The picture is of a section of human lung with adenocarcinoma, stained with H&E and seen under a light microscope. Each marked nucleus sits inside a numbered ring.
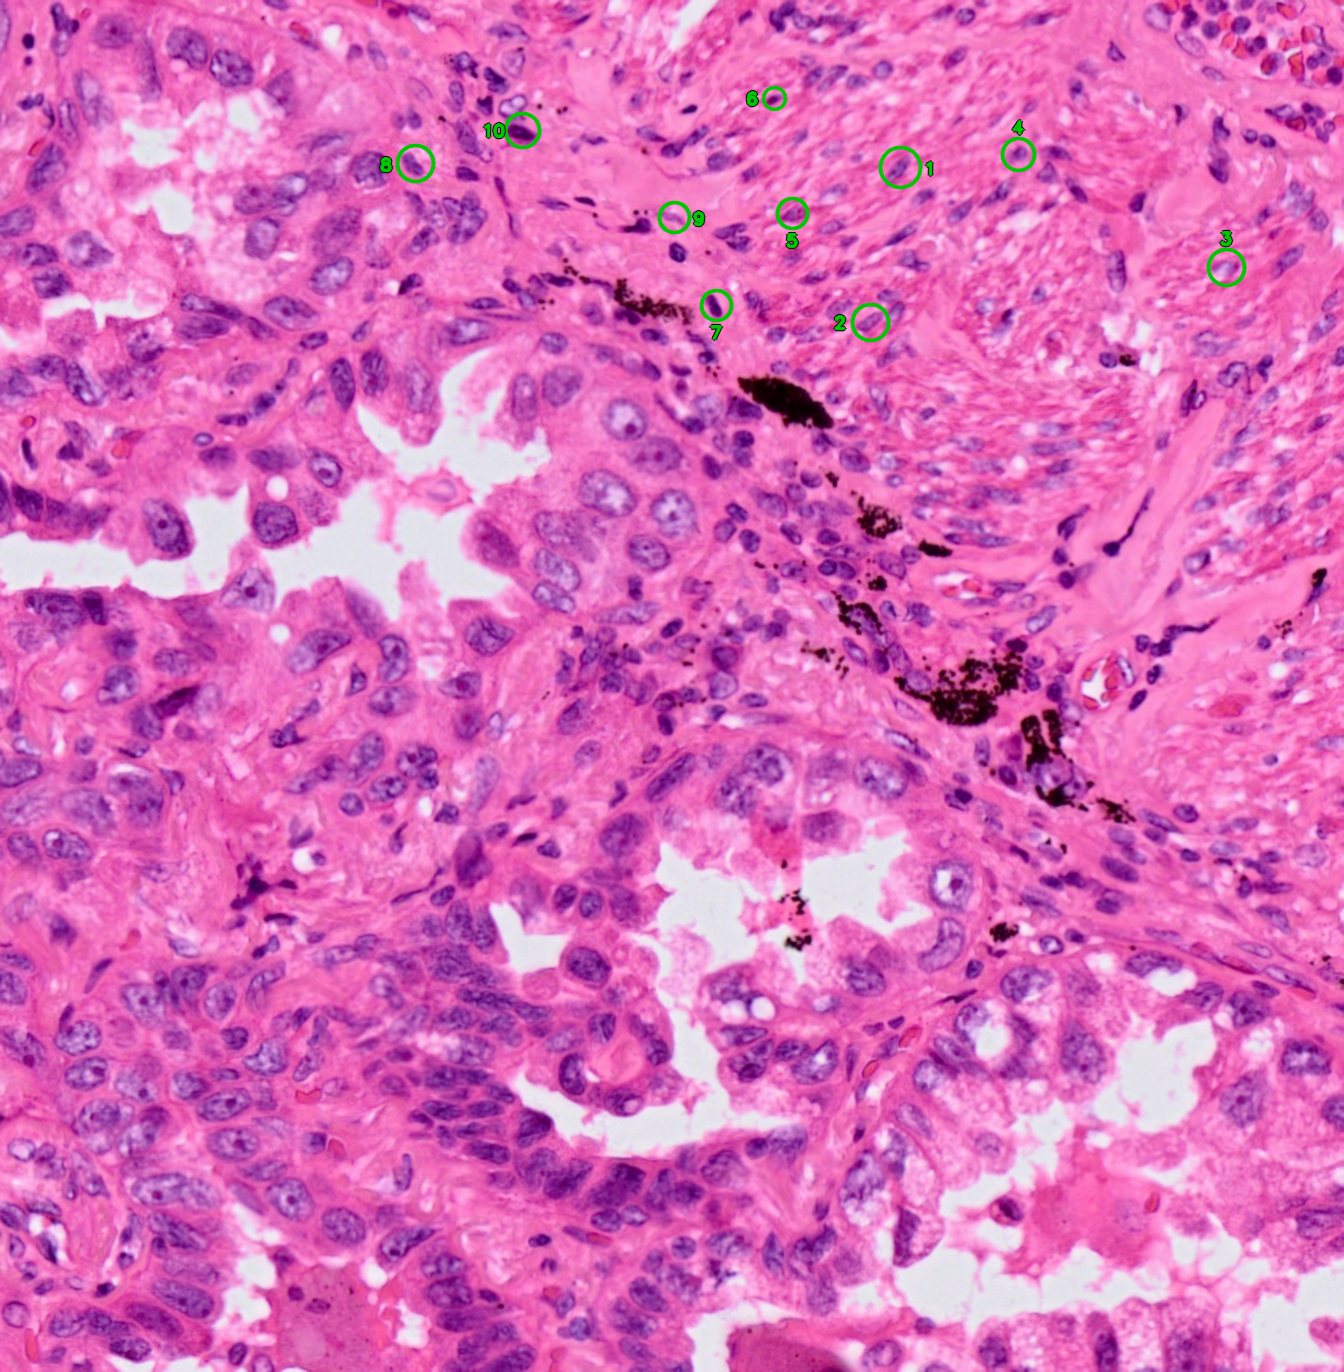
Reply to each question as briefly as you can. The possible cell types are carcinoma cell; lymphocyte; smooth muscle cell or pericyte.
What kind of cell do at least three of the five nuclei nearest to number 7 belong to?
smooth muscle cell or pericyte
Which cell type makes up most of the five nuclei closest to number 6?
smooth muscle cell or pericyte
